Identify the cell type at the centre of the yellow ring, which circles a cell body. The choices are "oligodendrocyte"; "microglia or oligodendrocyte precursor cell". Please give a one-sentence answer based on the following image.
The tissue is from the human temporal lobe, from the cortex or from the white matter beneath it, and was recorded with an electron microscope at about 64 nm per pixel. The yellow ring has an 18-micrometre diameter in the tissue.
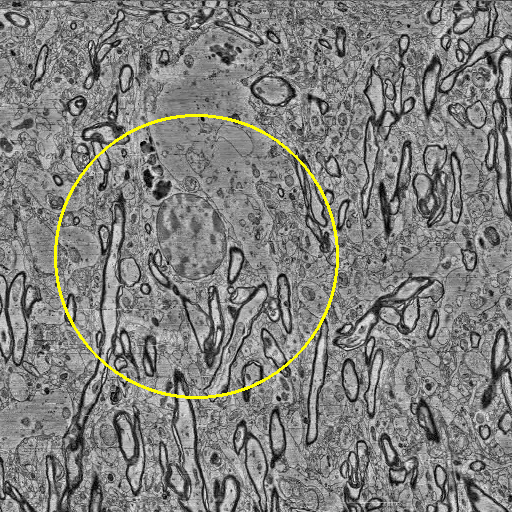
The cell marked by the ring is a microglial cell or oligodendrocyte precursor cell.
